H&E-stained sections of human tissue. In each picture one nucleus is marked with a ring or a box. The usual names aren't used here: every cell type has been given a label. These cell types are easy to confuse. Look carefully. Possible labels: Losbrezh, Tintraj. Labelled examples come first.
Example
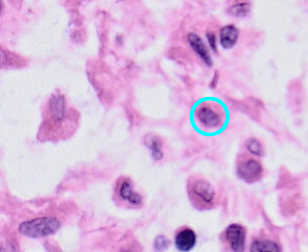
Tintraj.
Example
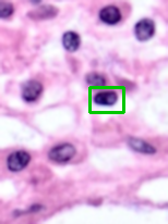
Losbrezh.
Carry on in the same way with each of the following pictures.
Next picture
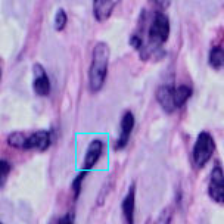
Losbrezh.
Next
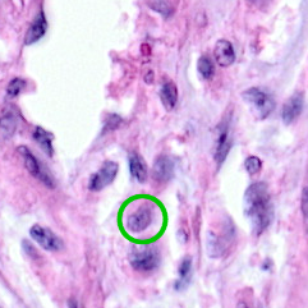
Tintraj.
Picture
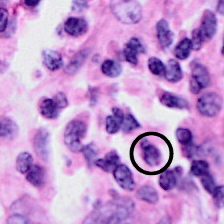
Losbrezh.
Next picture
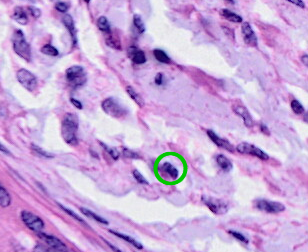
Losbrezh.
